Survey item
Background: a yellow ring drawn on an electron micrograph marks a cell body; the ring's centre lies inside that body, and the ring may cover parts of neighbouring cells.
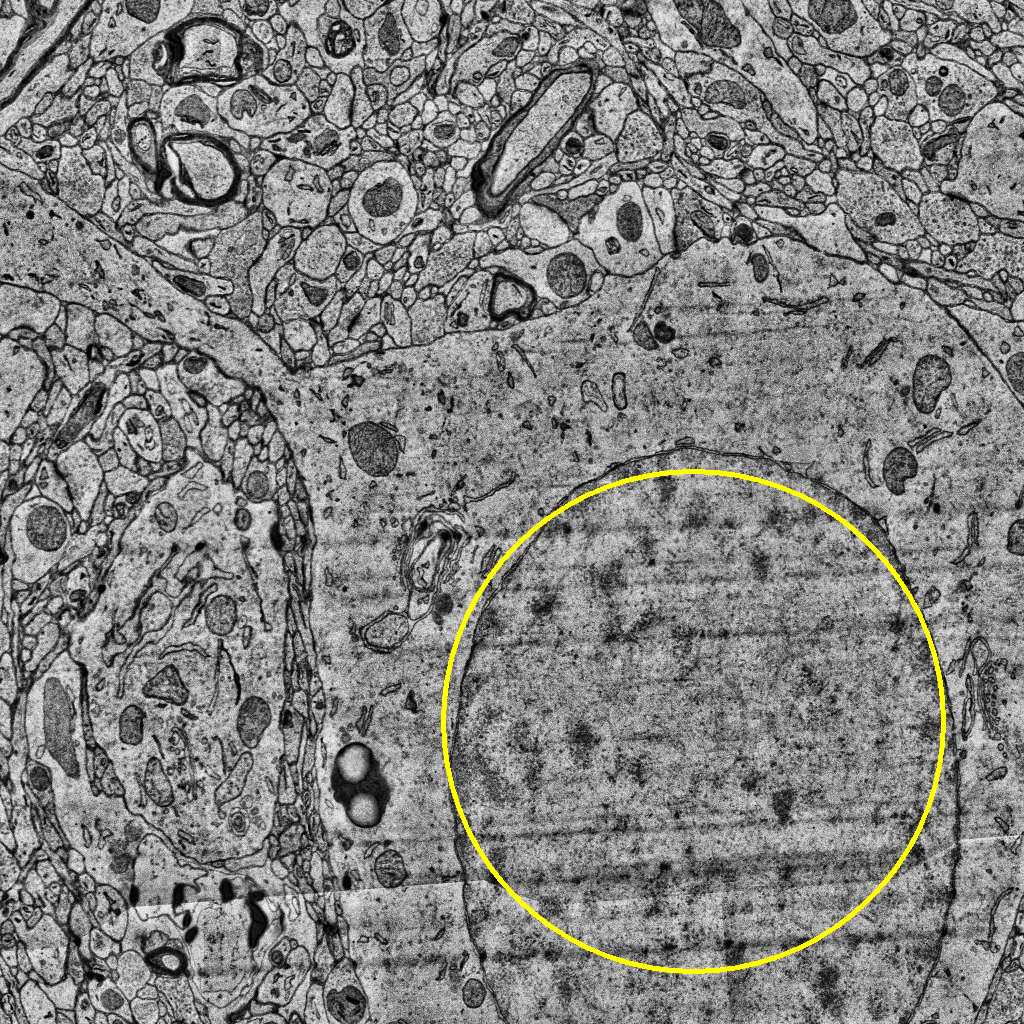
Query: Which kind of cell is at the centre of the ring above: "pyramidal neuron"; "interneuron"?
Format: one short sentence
The cell in the middle of the ring is a pyramidal neuron.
